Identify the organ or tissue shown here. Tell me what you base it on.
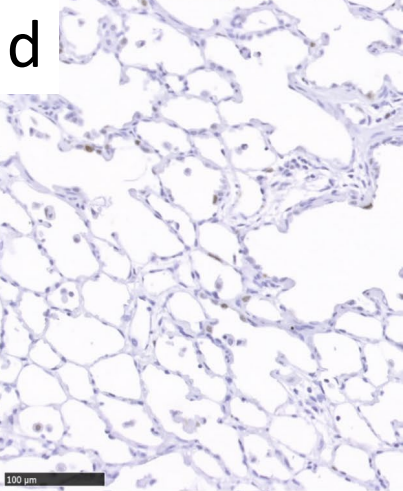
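Lung. Thin septa outline many rounded open airspaces. A thicker band of connective tissue with spindle-shaped nuclei runs through the alveolar meshwork.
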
